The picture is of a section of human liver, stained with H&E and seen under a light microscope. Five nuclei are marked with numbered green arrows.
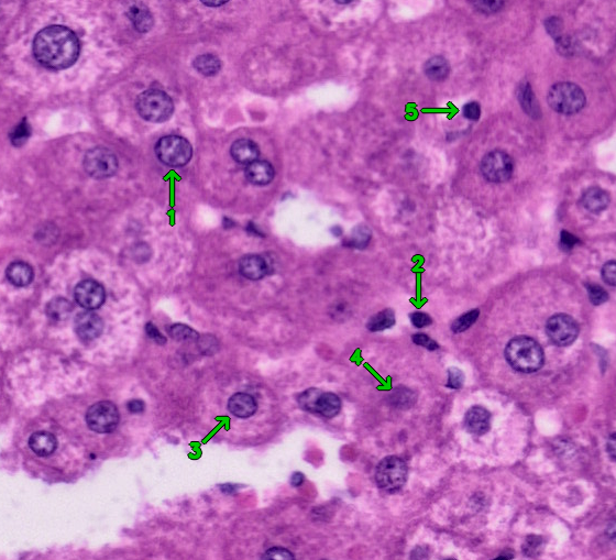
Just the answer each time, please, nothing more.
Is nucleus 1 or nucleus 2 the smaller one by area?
2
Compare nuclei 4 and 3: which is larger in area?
3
